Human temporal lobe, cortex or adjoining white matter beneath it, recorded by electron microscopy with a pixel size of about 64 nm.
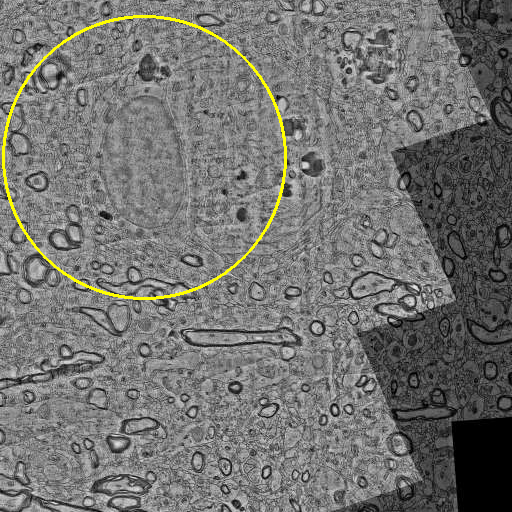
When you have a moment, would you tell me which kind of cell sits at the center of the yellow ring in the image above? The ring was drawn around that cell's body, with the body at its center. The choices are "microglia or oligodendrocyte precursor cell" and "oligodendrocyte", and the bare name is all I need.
oligodendrocyte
